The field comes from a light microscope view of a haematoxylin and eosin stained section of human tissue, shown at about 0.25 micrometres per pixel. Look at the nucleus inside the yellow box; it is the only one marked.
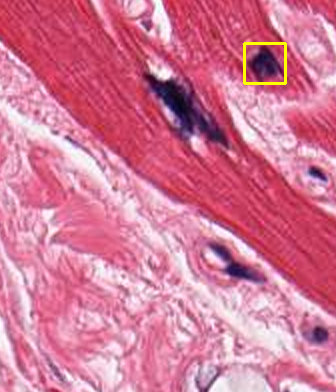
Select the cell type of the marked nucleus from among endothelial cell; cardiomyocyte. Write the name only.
cardiomyocyte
